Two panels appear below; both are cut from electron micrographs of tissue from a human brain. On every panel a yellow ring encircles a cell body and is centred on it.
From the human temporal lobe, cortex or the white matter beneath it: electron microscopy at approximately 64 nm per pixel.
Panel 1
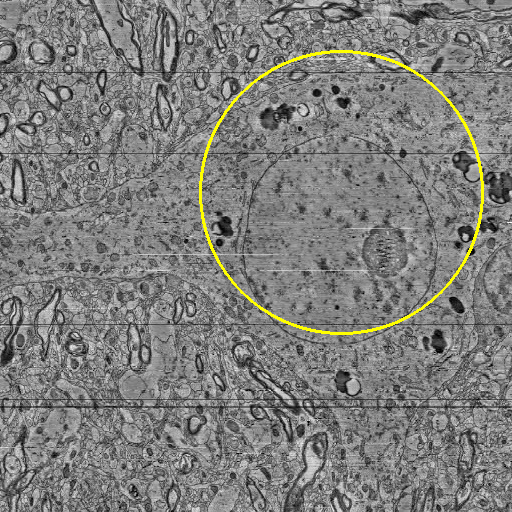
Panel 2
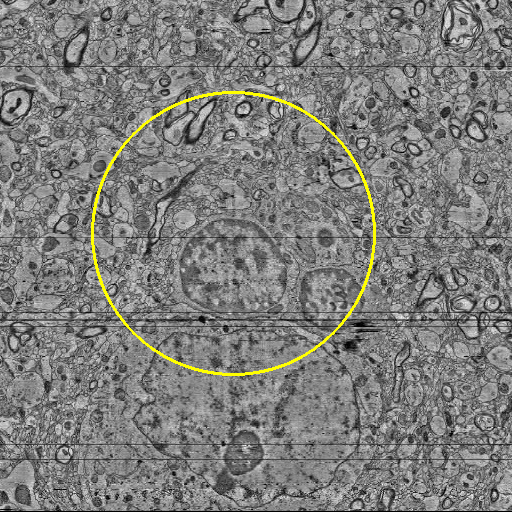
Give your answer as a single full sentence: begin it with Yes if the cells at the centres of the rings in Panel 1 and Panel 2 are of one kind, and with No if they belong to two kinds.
No, the cells in the middle of the rings in Panels 1 and 2 are of two kinds.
